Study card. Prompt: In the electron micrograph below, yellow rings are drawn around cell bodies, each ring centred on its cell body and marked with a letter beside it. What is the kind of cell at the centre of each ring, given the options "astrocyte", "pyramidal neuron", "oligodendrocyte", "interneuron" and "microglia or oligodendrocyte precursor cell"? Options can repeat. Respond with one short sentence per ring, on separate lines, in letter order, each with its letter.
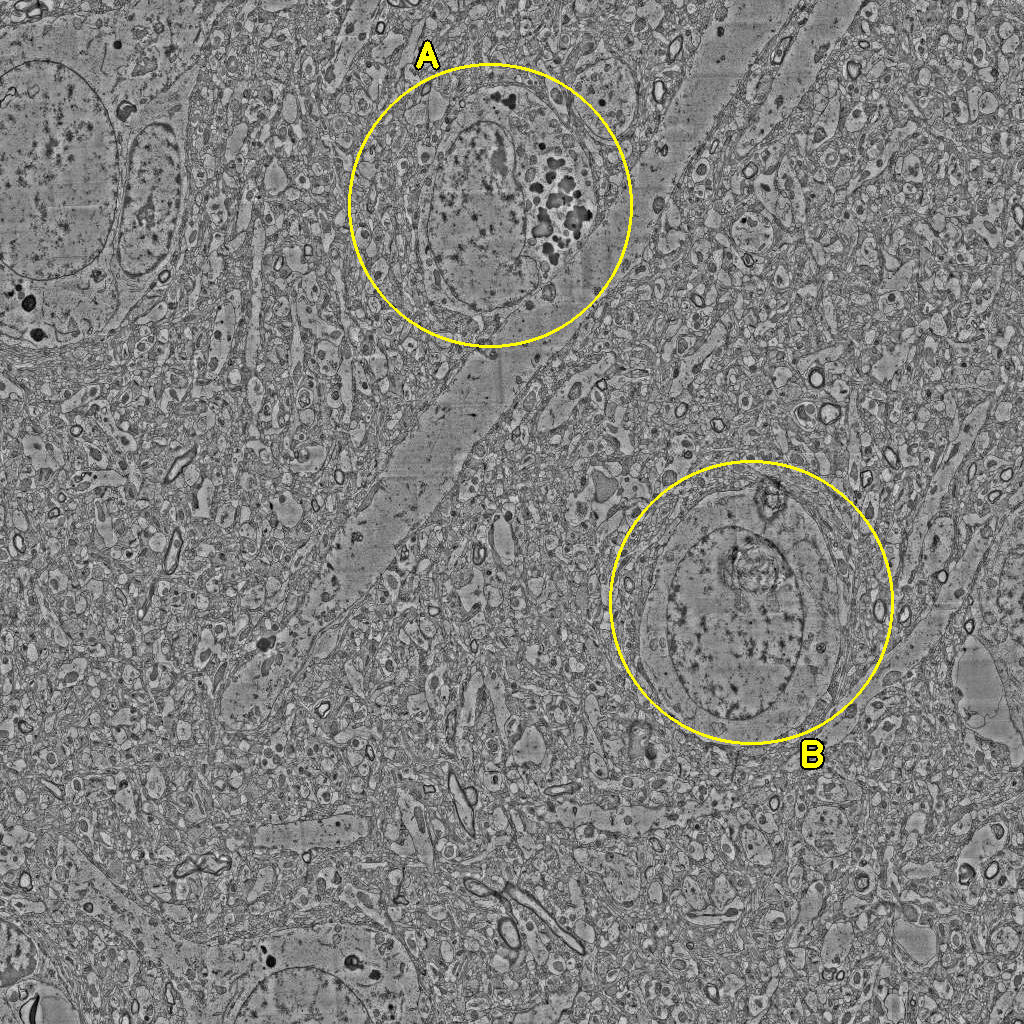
Ring A outlines an interneuron.
Ring B outlines a pyramidal neuron.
